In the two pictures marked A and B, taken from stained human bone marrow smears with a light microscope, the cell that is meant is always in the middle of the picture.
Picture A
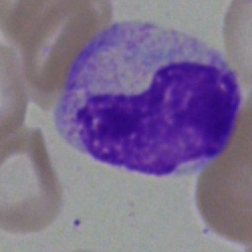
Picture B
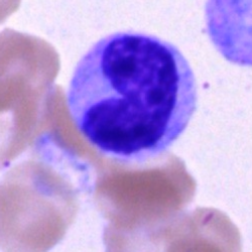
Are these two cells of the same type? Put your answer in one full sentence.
Yes, both cells are metamyelocytes.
